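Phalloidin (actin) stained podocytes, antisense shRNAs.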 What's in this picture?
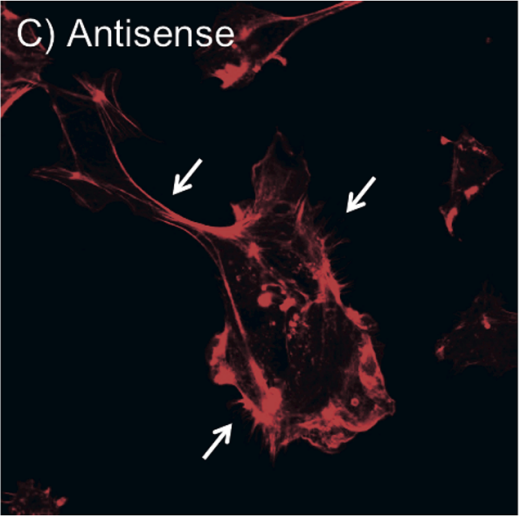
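Many short, thin spikes stick out from its margins, and a long slender extension runs off to one side. Smaller red-stained cells and cell fragments lie scattered around it.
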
